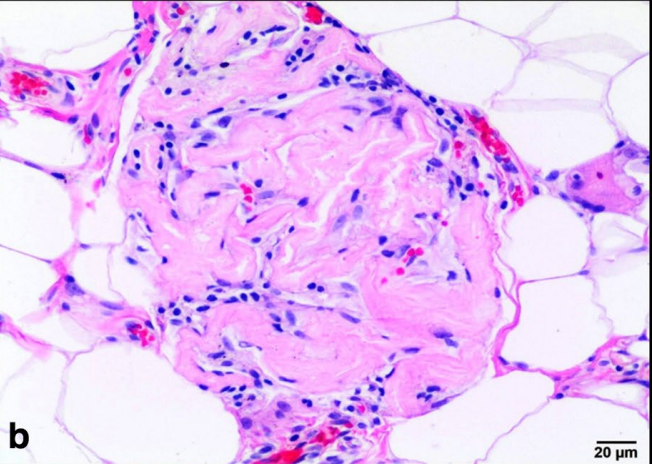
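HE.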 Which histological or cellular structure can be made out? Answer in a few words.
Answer: hyaline rings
